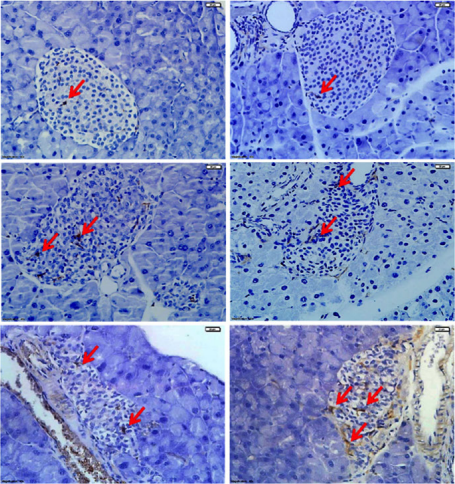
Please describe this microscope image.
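Red arrows point to scattered cells with a brown stain within and at the edges of the islets. In the lower images, the brown-stained cells are more numerous along the islet borders and near vessels.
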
